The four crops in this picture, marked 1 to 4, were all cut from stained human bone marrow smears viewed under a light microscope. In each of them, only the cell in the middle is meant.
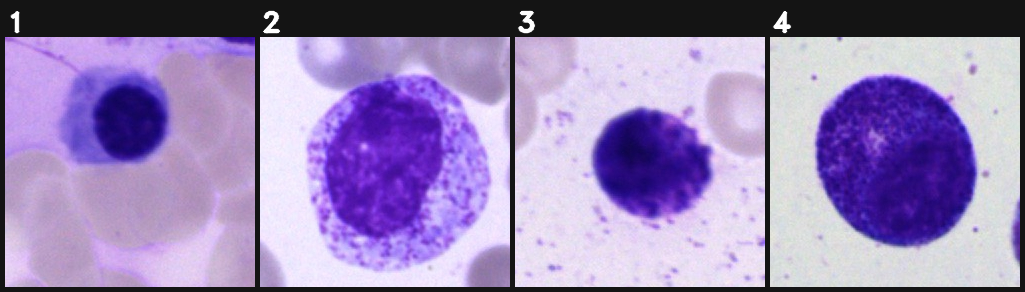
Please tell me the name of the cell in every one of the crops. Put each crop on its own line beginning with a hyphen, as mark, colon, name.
- 1: erythroblast
- 2: myelocyte
- 3: basophil
- 4: promyelocyte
